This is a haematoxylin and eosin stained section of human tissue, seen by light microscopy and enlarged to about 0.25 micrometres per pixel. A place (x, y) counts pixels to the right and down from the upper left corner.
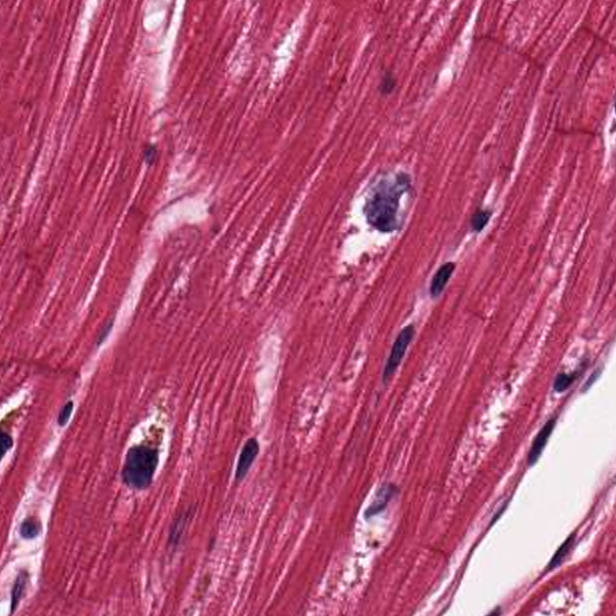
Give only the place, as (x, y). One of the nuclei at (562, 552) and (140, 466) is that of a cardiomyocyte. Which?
(140, 466)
